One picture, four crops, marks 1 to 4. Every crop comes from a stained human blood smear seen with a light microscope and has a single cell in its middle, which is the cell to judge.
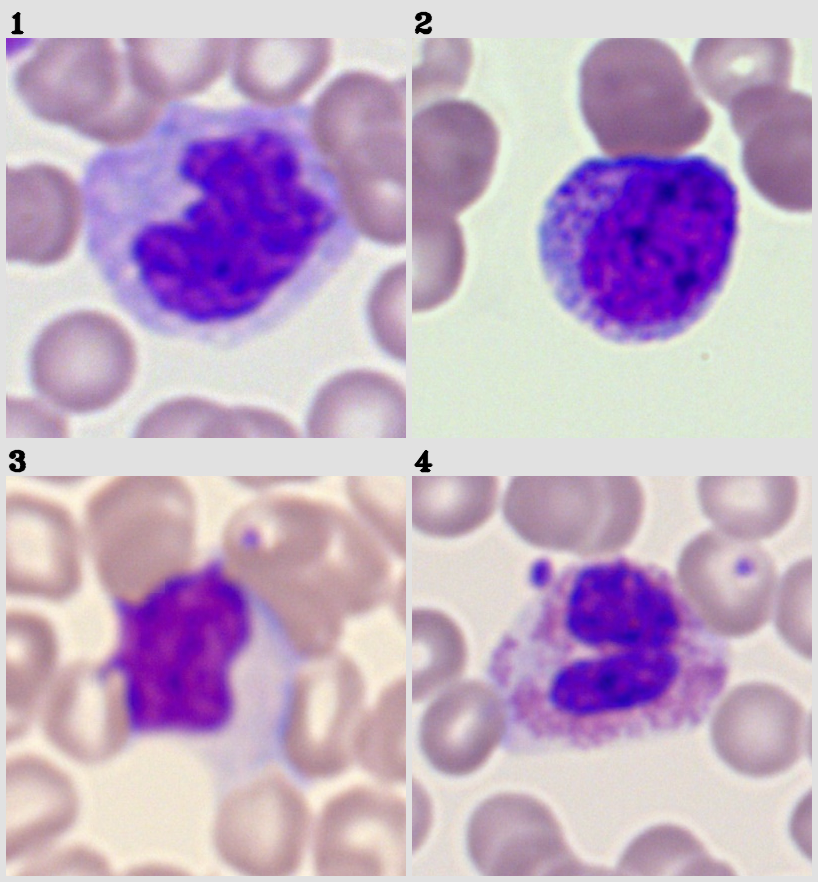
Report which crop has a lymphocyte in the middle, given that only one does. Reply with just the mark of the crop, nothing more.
3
